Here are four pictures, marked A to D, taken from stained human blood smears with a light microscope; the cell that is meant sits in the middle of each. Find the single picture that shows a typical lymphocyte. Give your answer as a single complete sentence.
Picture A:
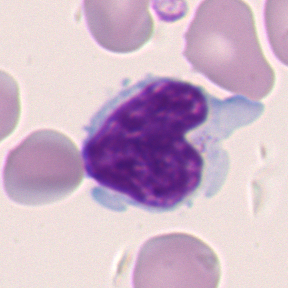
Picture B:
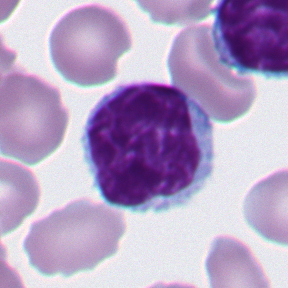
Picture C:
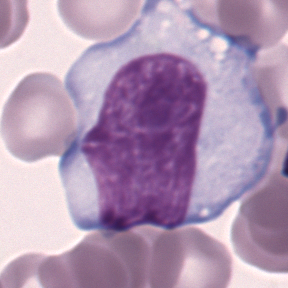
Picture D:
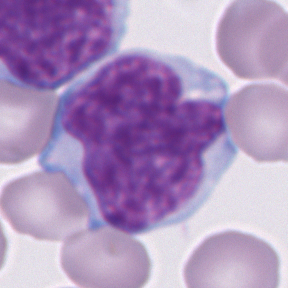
Picture B is the one that shows the typical lymphocyte.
